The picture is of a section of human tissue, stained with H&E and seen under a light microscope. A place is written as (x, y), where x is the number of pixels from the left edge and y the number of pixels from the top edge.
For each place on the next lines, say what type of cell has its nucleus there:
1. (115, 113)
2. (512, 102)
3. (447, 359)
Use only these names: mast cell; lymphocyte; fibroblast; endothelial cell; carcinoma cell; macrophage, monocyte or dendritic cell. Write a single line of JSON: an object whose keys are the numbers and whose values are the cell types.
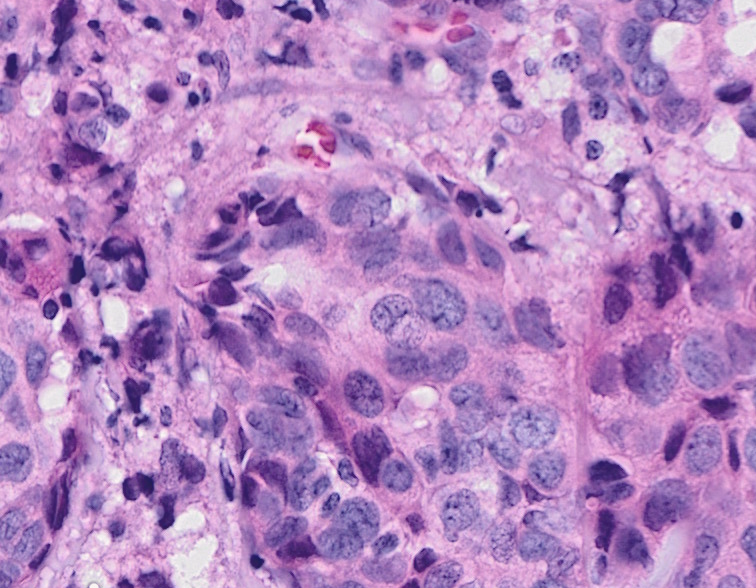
{"1": "lymphocyte", "2": "lymphocyte", "3": "carcinoma cell"}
